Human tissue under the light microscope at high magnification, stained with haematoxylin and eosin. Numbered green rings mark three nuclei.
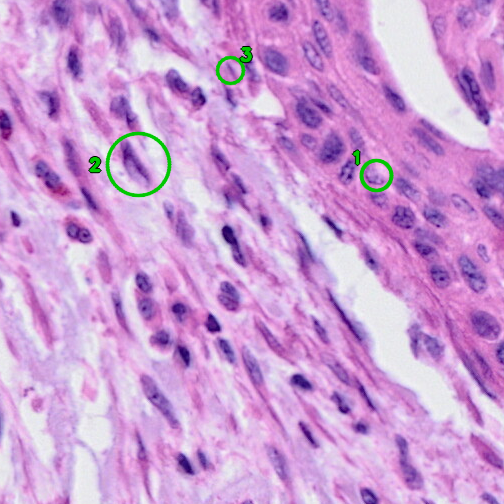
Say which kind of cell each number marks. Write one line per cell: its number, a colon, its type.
1: squamous carcinoma cell
2: fibroblast
3: fibroblast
